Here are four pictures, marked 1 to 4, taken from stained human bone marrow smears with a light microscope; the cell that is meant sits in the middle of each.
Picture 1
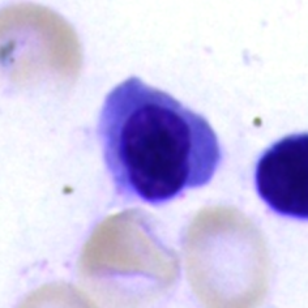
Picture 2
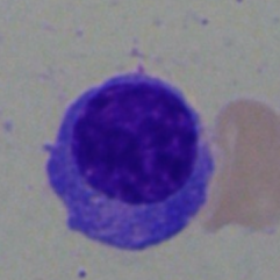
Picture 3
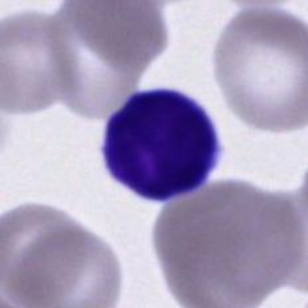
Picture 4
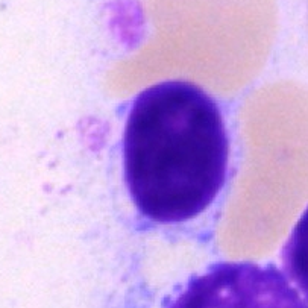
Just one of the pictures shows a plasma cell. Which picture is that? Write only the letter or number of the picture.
2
